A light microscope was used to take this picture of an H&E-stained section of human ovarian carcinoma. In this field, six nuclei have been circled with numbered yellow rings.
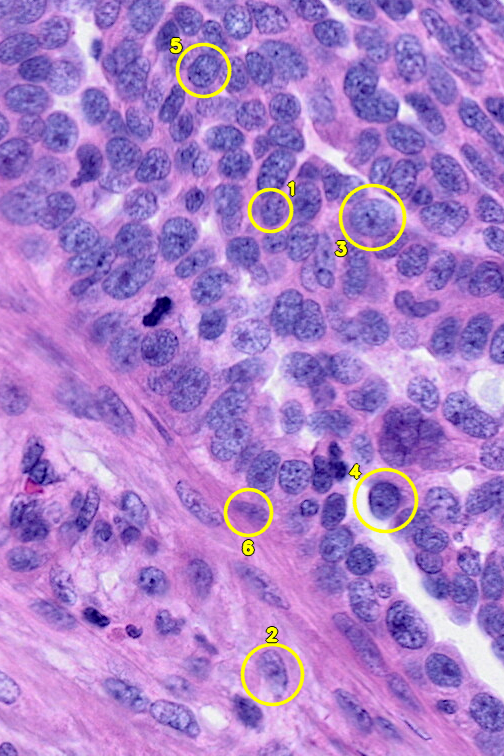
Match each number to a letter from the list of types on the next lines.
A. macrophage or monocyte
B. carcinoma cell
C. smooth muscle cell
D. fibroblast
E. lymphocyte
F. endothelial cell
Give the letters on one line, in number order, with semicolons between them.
B; D; B; B; B; D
